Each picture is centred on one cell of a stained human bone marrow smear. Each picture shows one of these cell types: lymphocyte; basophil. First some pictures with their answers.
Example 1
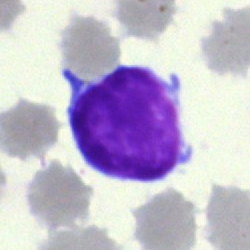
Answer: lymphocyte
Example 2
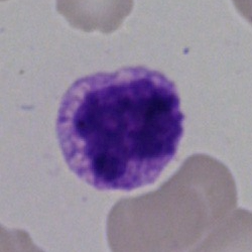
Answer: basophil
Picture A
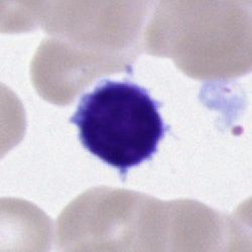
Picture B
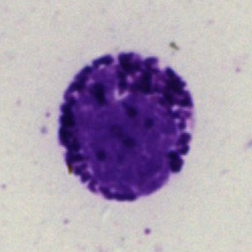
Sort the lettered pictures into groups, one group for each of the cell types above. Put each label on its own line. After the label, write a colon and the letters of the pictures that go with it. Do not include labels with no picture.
lymphocyte: A
basophil: B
